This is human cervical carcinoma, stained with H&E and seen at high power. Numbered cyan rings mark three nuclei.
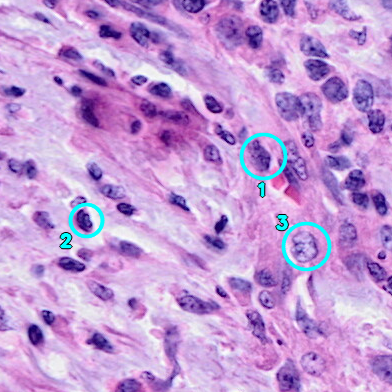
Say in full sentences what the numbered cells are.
Cell 1 is an endothelial cell, cell 2 is a lymphocyte and cell 3 is an endothelial cell.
